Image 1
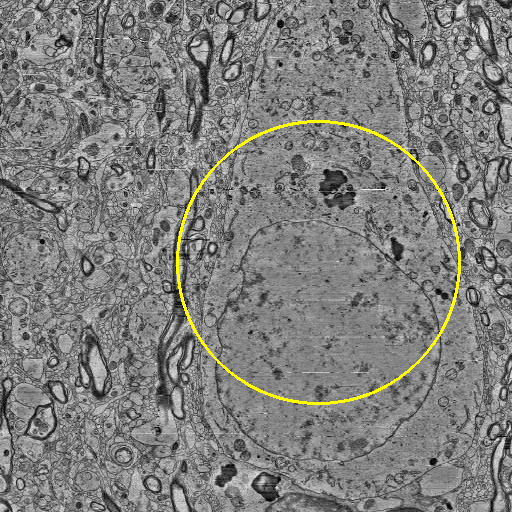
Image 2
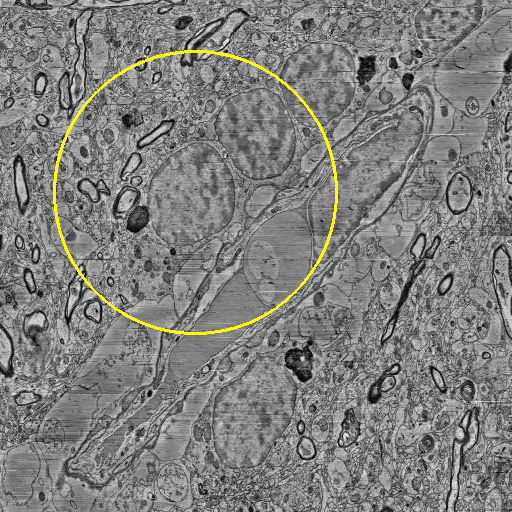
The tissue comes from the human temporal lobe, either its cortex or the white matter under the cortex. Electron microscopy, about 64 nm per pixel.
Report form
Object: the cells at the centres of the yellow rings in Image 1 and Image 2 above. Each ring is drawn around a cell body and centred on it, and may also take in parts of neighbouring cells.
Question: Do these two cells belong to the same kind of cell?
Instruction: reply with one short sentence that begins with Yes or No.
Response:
No, they belong to two kinds of cell.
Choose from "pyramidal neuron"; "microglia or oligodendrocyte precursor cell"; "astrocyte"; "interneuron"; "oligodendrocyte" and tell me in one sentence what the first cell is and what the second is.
What the first ring is centred on is a pyramidal neuron; what the second ring is centred on is an oligodendrocyte.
